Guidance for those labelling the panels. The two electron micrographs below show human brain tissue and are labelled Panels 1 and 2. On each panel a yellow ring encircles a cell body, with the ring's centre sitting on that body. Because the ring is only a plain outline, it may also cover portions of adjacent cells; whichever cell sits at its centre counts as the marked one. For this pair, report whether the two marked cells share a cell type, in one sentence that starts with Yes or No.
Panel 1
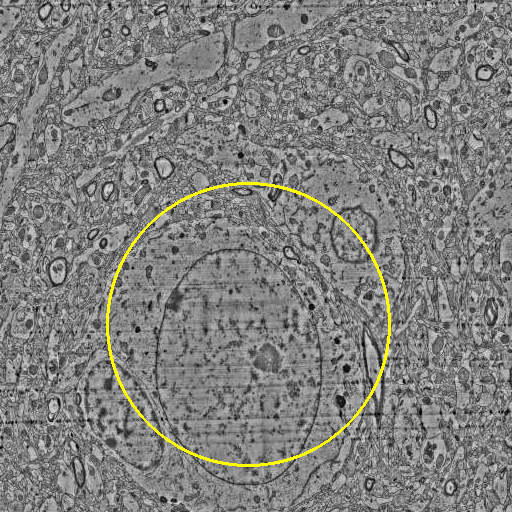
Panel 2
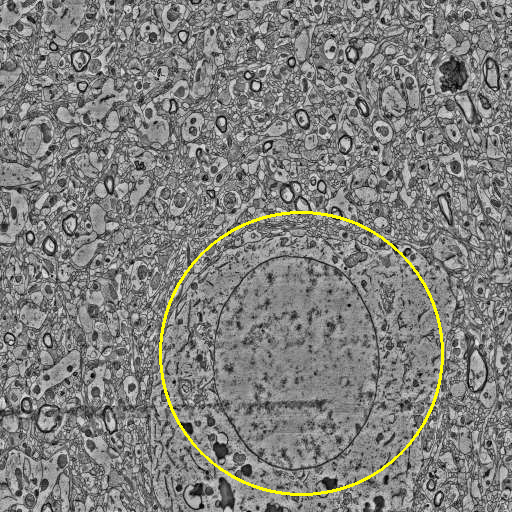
Yes, in Panel 1 and Panel 2 the marked cells at the ring centres share one type.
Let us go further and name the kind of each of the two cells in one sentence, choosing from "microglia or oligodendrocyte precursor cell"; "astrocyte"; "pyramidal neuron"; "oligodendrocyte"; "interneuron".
Each of the two cells is a pyramidal neuron.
